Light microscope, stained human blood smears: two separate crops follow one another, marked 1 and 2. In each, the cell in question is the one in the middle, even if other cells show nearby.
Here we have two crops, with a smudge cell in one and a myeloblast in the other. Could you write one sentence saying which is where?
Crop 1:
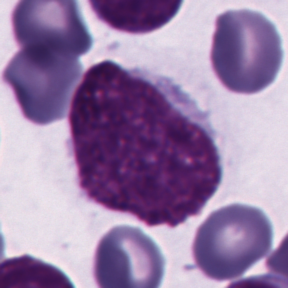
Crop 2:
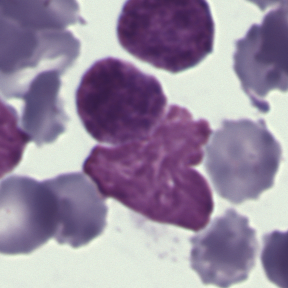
Crop 1 here is a myeloblast, and crop 2 is a smudge cell.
